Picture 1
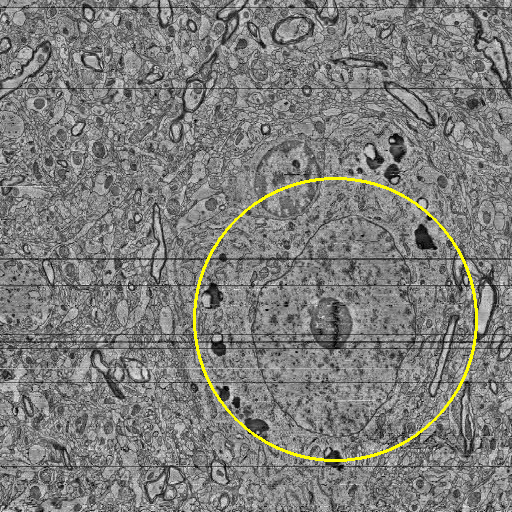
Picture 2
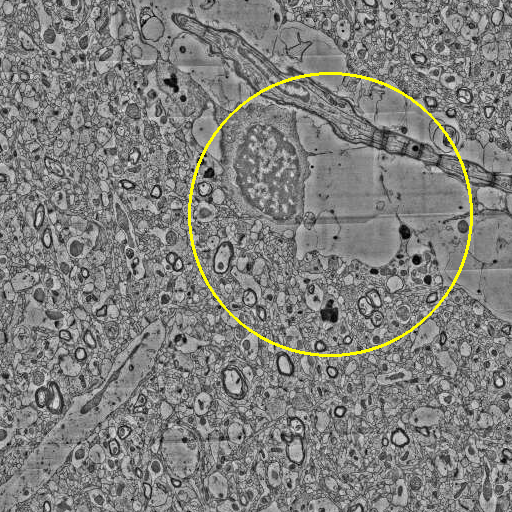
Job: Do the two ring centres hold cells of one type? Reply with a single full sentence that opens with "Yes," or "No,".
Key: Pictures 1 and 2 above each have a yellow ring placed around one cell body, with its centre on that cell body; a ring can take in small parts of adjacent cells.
No, the cells at the two ring centres are of two separate types.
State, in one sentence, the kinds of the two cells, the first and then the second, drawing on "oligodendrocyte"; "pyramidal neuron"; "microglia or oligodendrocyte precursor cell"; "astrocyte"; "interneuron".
The ring in the second picture is centred on an oligodendrocyte, the ring in the first on a pyramidal neuron.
